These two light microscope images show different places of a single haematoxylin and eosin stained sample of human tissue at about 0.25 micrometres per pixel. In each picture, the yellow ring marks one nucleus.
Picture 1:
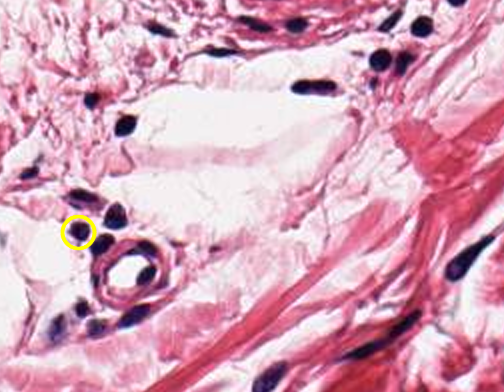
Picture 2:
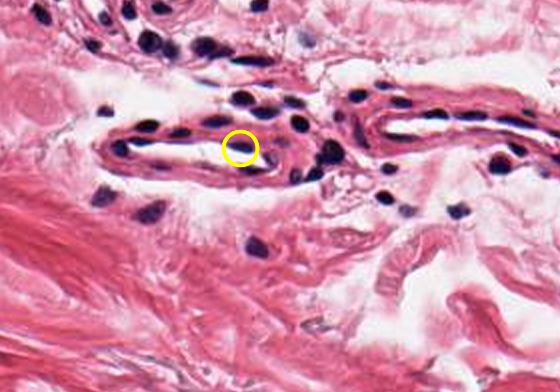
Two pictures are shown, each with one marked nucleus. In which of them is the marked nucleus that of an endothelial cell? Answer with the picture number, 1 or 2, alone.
2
